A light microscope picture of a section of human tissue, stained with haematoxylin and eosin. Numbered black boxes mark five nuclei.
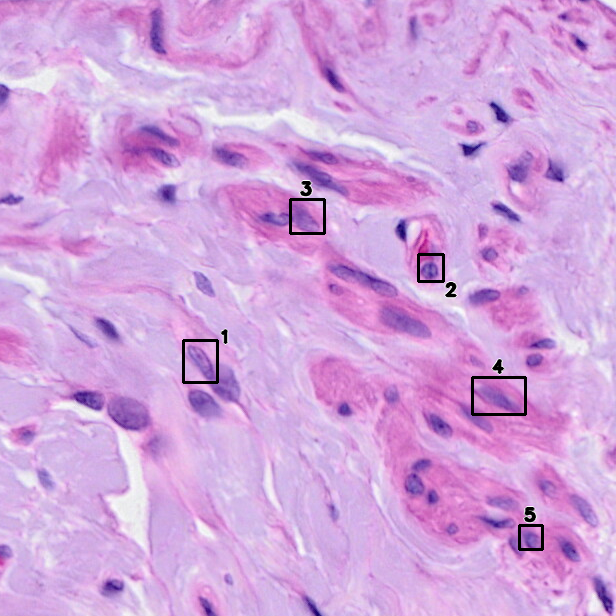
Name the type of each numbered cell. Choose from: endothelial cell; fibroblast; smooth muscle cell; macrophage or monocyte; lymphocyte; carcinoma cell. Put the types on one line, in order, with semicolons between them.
endothelial cell; endothelial cell; smooth muscle cell; smooth muscle cell; smooth muscle cell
